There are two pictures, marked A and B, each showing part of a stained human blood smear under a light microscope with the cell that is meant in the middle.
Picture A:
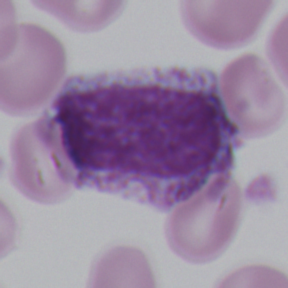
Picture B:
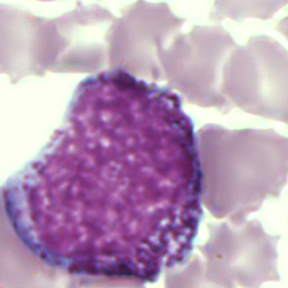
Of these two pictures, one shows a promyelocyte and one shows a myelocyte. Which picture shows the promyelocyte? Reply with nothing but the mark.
B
